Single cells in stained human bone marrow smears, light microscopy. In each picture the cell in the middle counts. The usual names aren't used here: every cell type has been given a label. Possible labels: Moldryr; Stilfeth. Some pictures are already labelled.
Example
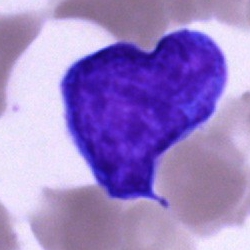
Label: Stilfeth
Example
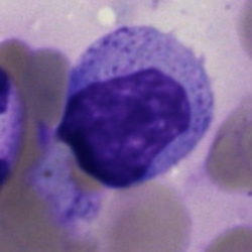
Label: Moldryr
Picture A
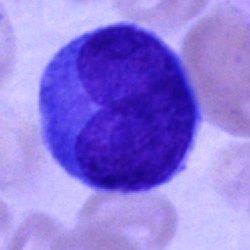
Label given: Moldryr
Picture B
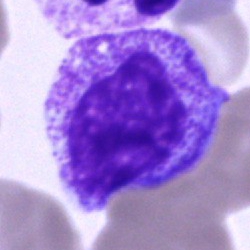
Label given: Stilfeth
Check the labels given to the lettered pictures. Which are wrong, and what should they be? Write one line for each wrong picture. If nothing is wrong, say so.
A is labelled Moldryr; correct label: Stilfeth
B is labelled Stilfeth; correct label: Moldryr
